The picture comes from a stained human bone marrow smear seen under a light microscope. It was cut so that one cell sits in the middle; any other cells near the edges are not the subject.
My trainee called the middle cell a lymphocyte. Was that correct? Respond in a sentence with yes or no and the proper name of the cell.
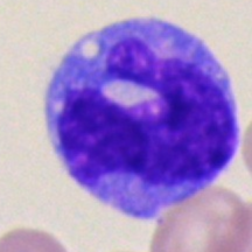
No, in the centre of the crop lies a monocyte, not a lymphocyte.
